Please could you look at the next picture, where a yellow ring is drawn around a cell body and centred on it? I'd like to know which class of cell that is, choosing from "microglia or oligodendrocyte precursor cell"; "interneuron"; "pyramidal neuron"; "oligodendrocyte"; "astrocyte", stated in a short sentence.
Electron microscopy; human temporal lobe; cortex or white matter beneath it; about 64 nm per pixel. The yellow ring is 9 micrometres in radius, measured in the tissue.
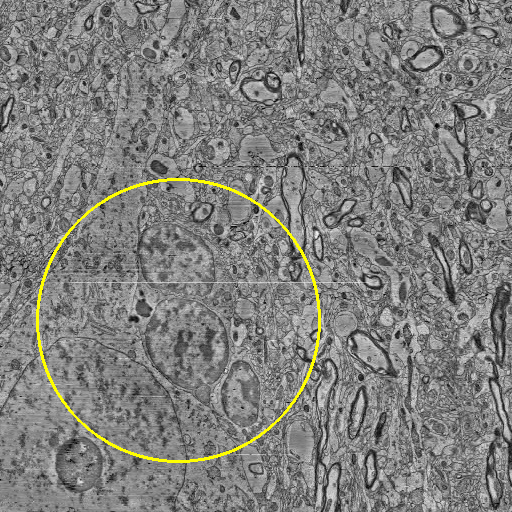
The ring's centre lies on an oligodendrocyte.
